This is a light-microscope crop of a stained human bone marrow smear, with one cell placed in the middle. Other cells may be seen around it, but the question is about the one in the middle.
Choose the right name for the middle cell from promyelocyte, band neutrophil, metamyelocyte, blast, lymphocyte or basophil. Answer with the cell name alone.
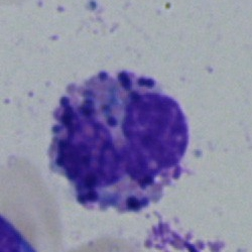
basophil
